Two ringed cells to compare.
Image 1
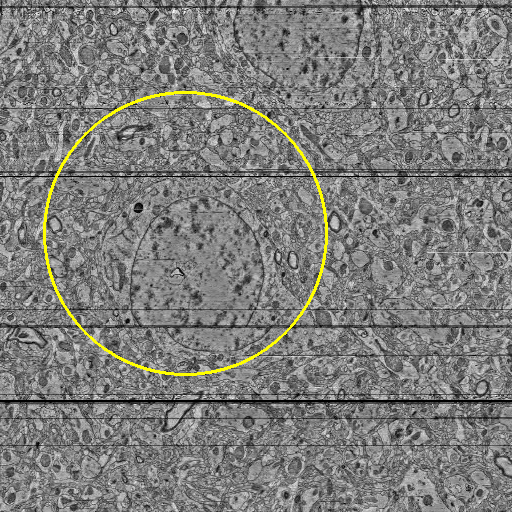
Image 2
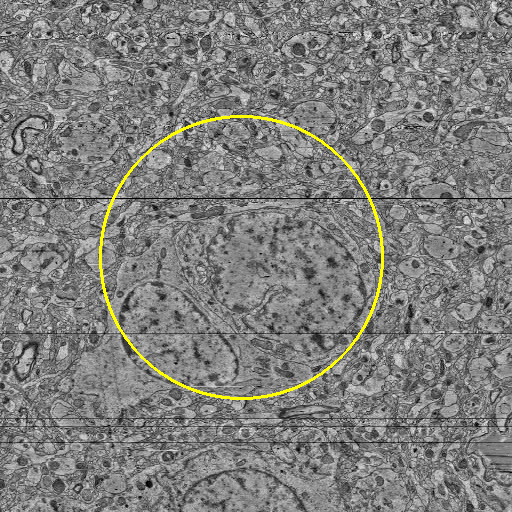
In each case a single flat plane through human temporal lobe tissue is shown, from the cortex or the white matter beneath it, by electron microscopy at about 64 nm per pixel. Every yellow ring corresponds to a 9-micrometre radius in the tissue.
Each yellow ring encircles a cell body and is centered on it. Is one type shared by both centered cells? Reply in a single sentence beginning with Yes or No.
No, two types are found among the cells at the centers of the rings.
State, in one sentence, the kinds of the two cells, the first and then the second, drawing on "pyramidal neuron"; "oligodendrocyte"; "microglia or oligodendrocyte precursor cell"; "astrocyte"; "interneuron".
The ring in the second picture is centred on an interneuron, the ring in the first on a pyramidal neuron.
